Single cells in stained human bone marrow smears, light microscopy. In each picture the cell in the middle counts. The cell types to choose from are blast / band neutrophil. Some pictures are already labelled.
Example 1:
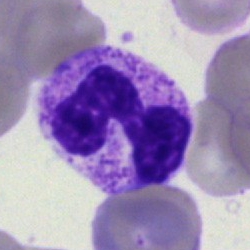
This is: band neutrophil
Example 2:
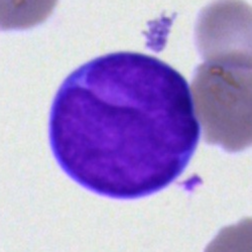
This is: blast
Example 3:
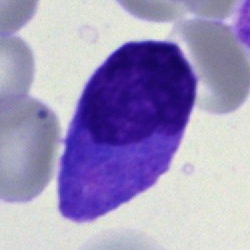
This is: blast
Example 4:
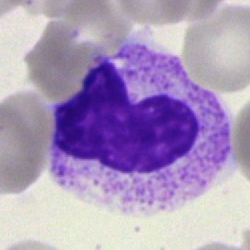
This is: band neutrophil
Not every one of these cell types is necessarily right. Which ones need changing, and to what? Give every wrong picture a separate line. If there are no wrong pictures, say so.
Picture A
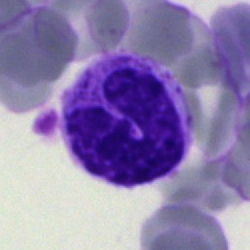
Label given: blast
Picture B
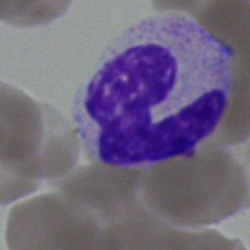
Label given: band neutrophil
A should be band neutrophil, not blast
